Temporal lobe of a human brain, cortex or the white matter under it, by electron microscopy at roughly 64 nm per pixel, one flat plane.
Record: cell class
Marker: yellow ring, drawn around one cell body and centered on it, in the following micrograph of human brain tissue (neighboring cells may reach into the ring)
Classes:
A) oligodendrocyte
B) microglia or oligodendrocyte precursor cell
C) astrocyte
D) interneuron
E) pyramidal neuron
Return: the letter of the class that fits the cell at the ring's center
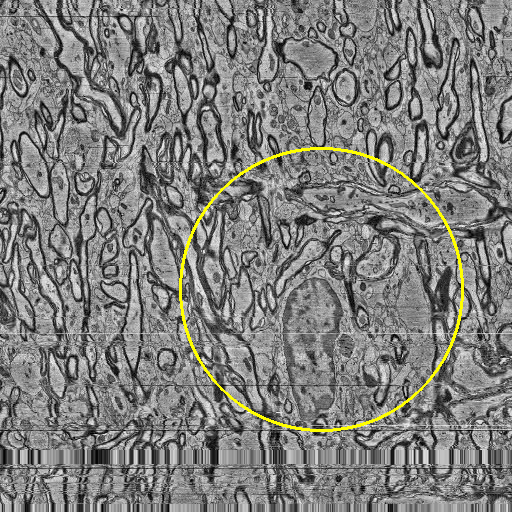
B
